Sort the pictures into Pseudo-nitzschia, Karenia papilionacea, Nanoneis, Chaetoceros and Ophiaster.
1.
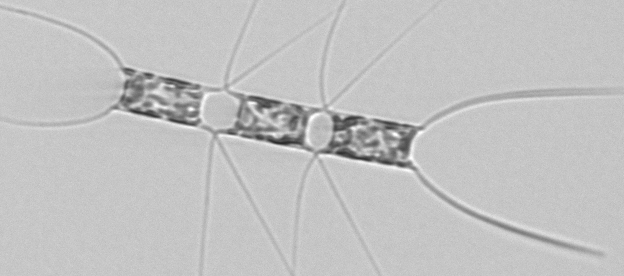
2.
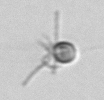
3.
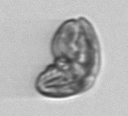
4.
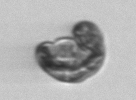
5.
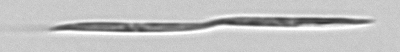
Chaetoceros: 1
Ophiaster: 2
Karenia papilionacea: 3, 4
Pseudo-nitzschia: 5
